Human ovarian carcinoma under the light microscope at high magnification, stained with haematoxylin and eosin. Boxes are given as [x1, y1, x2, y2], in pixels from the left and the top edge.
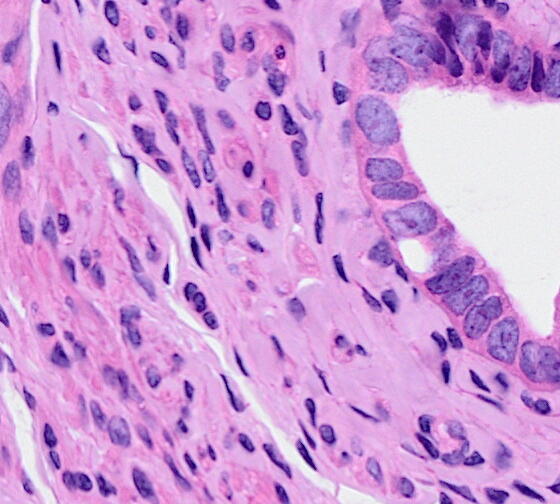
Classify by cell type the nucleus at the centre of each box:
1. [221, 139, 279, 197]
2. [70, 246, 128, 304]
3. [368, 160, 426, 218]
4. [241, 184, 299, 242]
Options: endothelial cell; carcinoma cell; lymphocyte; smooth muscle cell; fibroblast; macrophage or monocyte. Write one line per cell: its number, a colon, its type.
1: smooth muscle cell
2: smooth muscle cell
3: carcinoma cell
4: smooth muscle cell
